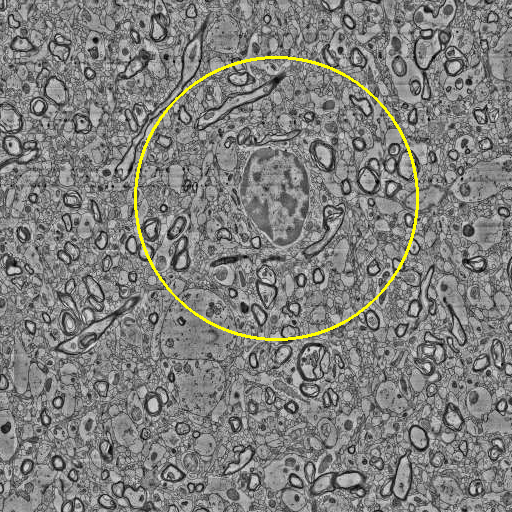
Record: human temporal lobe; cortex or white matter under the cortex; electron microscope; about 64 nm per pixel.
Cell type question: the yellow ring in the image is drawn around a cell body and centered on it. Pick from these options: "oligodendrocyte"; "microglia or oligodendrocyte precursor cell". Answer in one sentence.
The ringed cell at the center is a microglial cell or oligodendrocyte precursor cell.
